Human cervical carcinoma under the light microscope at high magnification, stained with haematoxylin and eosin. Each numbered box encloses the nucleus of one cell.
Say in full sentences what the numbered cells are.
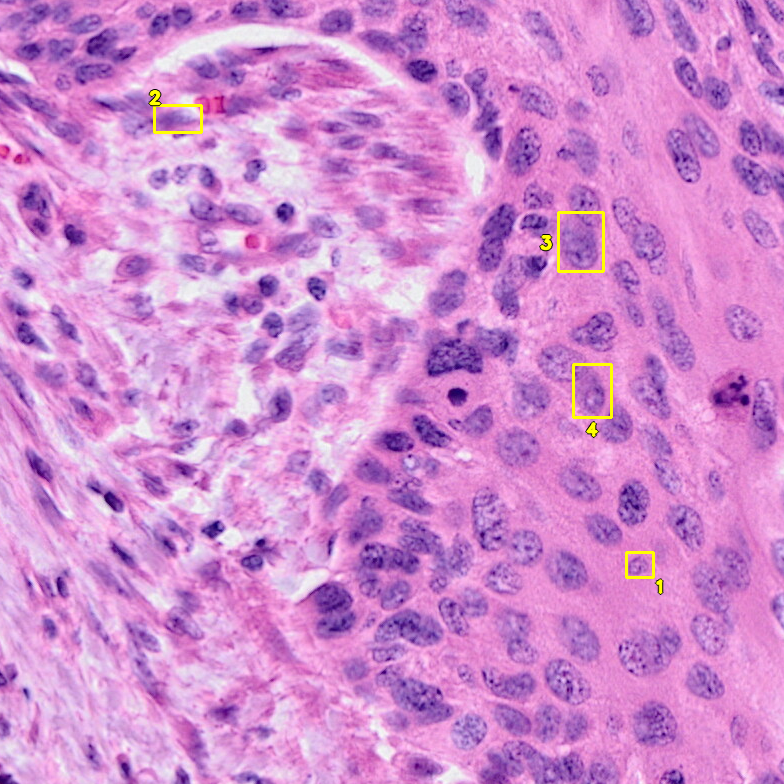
Cells 1, 3 and 4 are squamous carcinoma cells. Cell 2 is an endothelial cell.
